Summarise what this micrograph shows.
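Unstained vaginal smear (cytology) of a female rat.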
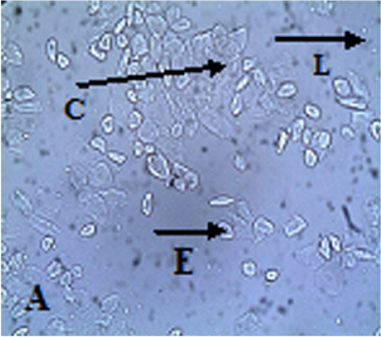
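The cornified cells are flat, pale and angular or irregular in outline, with no clear nucleus, and they lie overlapping in loose sheets, most densely in the upper middle of the field. The epithelial cells are smaller, oval or rounded, and have a sharp, bright refractile border. Numerous tiny dark dots, much smaller than either kind of epithelial cell, are strewn evenly over the grey-blue background between them.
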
